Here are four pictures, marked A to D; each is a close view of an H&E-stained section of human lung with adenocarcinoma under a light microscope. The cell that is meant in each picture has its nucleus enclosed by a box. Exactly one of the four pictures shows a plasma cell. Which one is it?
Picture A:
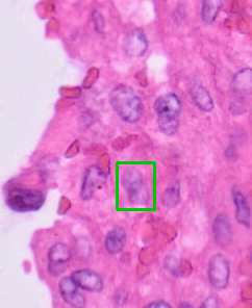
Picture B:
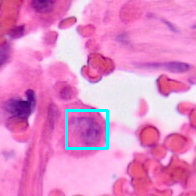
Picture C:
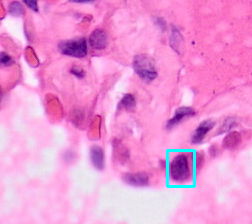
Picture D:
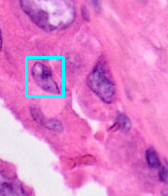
C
